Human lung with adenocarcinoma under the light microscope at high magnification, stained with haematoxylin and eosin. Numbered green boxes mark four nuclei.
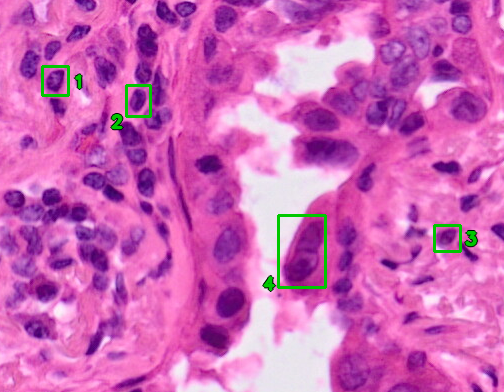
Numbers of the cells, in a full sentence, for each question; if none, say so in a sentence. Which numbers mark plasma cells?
The cells given the numbers 1 and 3 are plasma cells.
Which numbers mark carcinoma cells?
Cell 4 is a carcinoma cell, which is true of none of the other numbered cells.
